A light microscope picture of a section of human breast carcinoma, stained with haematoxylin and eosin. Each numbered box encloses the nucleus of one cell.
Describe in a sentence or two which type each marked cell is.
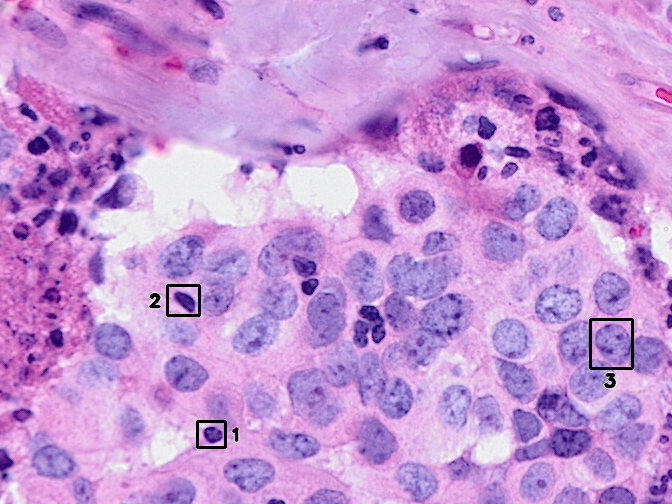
Cell 1 is a lymphocyte, cell 2 is a lymphocyte and cell 3 is a carcinoma cell.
